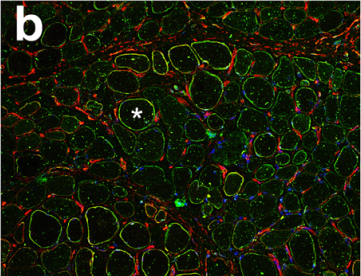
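A cross-section of skeletal muscle shows myofibers that are rounded and vary much in size, with wider spaces between them holding red-lined tissue and scattered blue nuclei. Many fibres are outlined by a bright green ring at the membrane while their interiors are dimmer, and a few bright green clumps lie within fibres.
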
